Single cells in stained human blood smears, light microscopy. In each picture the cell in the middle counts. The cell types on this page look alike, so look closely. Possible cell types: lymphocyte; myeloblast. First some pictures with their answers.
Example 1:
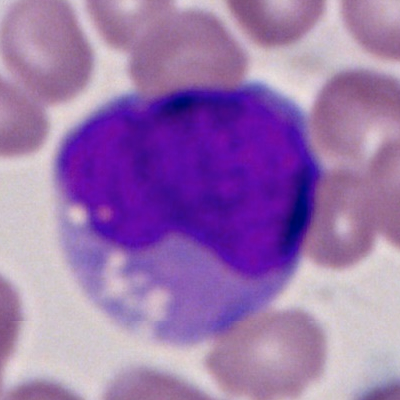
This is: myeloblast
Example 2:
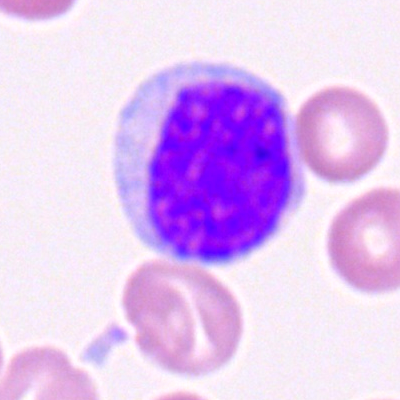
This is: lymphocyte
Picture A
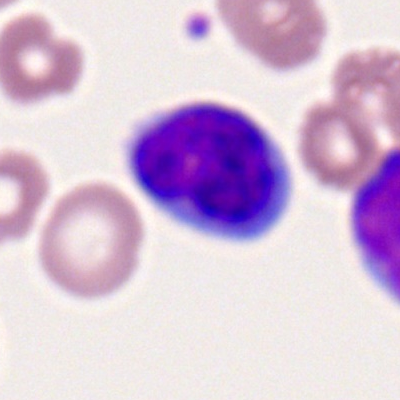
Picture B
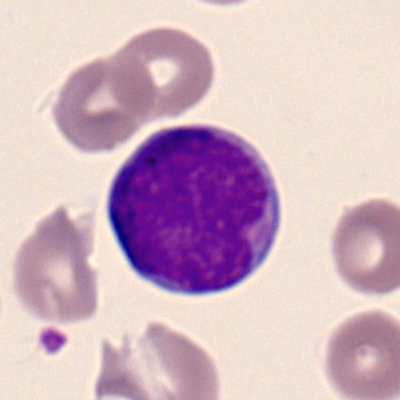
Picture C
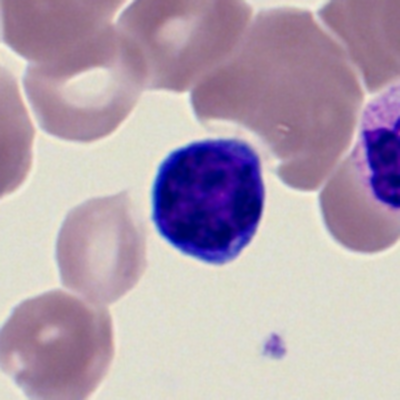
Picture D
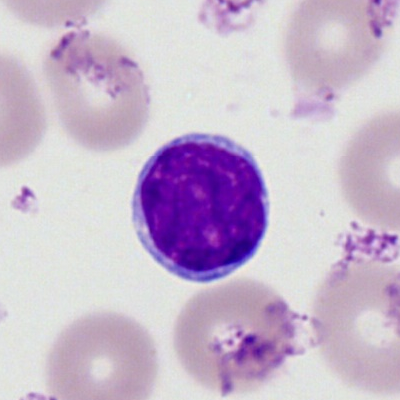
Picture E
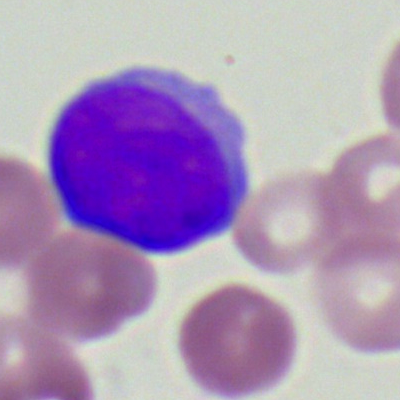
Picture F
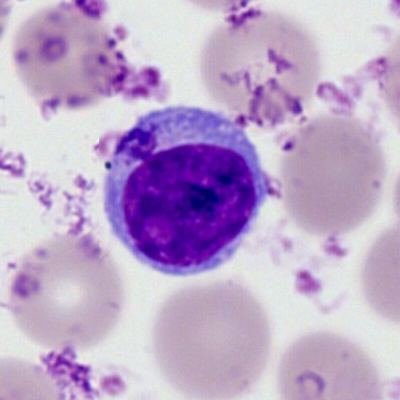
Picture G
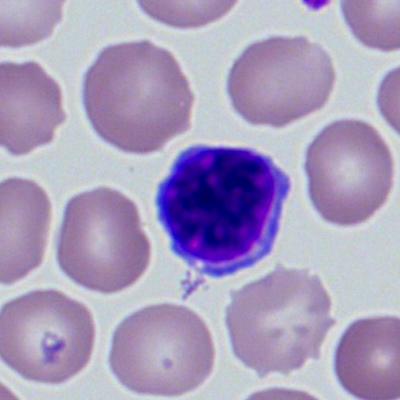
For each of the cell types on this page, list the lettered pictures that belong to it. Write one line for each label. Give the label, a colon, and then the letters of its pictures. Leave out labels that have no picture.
lymphocyte: A, C, D, F, G
myeloblast: B, E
